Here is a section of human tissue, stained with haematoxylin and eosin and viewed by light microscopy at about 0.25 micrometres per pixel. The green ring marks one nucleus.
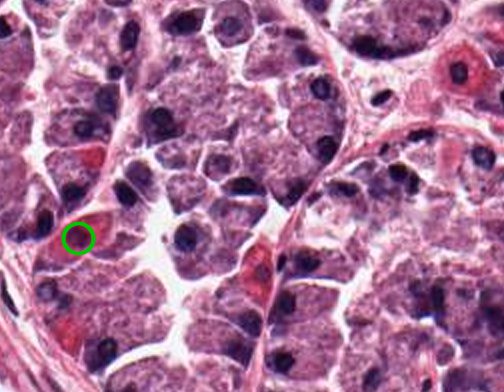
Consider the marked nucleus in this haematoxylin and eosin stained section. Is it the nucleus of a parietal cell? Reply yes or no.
yes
